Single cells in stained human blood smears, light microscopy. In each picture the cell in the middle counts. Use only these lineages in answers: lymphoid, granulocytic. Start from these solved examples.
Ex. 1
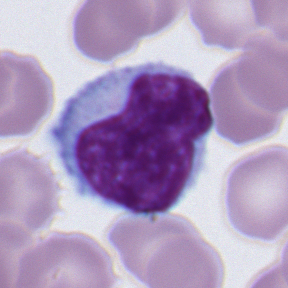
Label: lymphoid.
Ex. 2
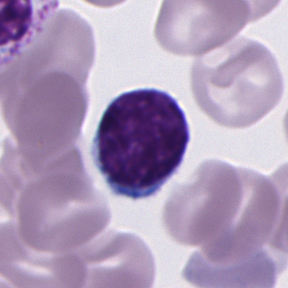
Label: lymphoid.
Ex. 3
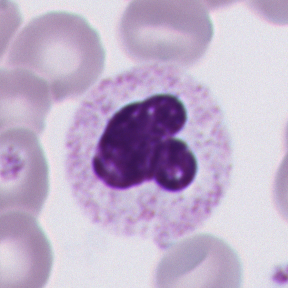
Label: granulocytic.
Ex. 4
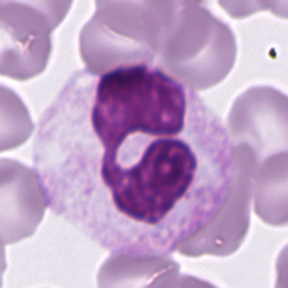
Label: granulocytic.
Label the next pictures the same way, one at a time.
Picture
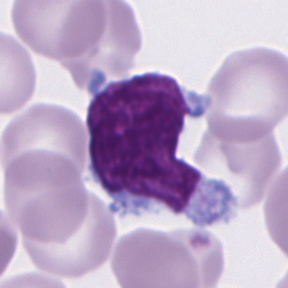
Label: lymphoid.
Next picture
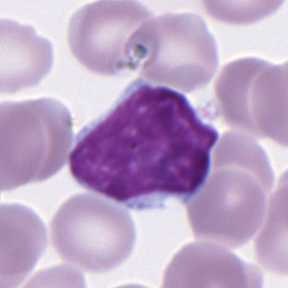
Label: lymphoid.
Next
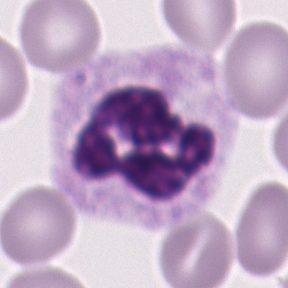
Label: granulocytic.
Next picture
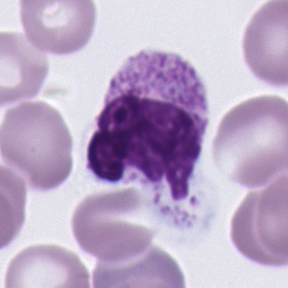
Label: granulocytic.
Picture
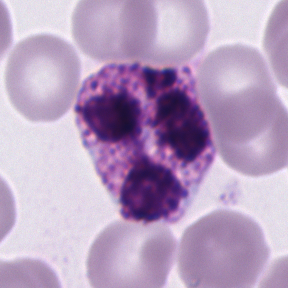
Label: granulocytic.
